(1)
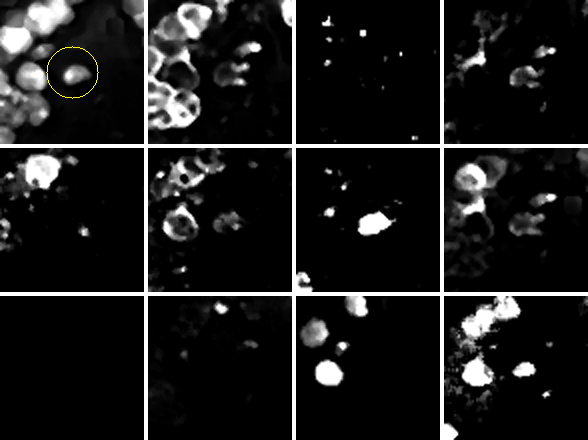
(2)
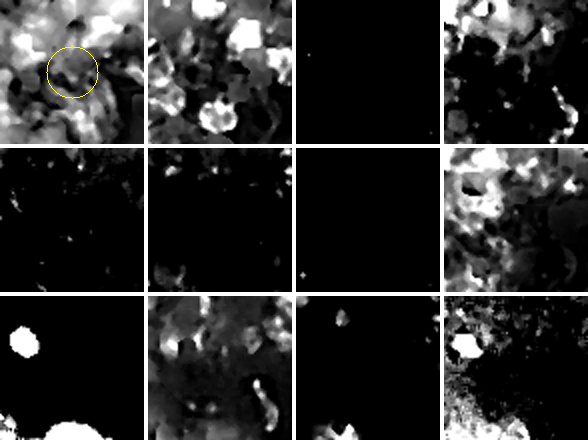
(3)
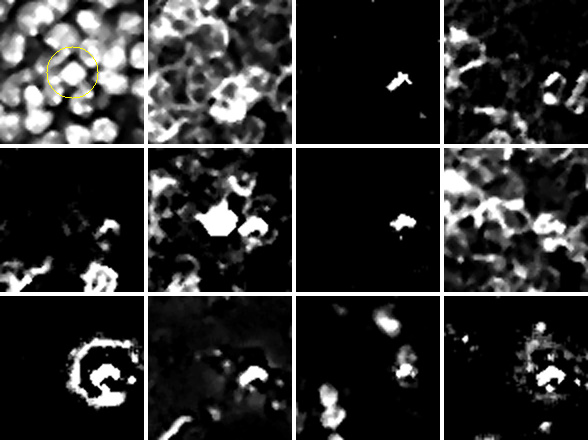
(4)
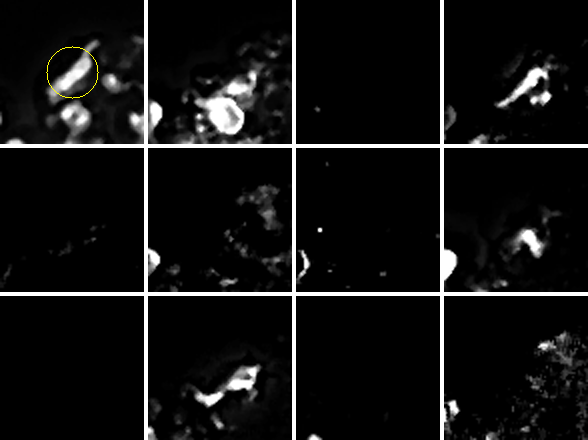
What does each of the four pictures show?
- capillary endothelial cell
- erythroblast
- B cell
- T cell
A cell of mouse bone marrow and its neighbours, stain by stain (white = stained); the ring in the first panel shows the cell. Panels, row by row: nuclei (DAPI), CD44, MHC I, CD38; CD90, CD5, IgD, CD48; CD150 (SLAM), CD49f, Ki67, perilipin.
1: B cell
2: erythroblast
3: T cell
4: capillary endothelial cell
